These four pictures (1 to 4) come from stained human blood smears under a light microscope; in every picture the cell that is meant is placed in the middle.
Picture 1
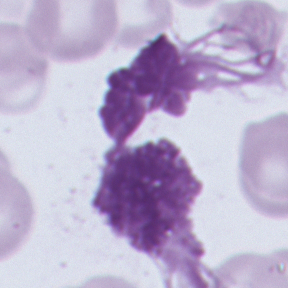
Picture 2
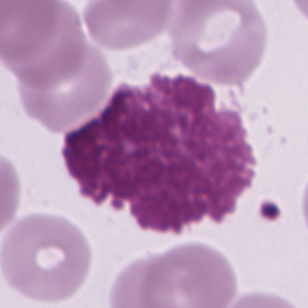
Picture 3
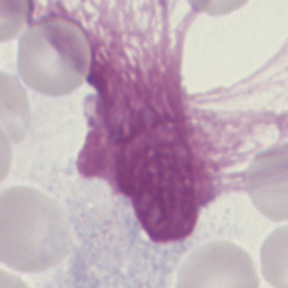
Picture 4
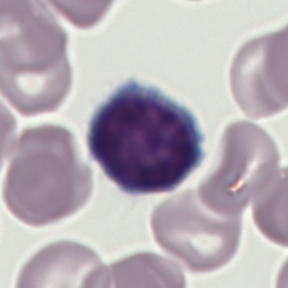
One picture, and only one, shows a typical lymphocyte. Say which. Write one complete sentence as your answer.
The cell in picture 4 is the typical lymphocyte.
